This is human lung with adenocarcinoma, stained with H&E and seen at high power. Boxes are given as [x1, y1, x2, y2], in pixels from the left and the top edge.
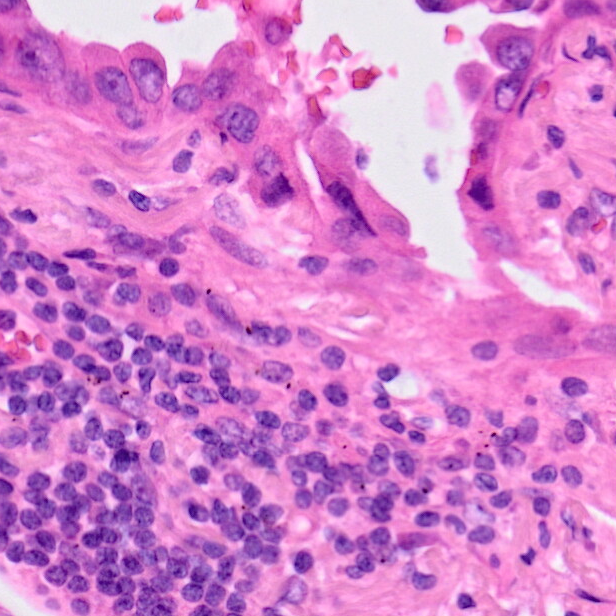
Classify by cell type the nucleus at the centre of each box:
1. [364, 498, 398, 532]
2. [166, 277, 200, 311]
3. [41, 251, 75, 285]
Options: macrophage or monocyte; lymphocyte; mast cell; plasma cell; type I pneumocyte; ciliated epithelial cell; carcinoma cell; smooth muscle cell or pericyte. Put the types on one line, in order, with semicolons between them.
lymphocyte; plasma cell; lymphocyte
